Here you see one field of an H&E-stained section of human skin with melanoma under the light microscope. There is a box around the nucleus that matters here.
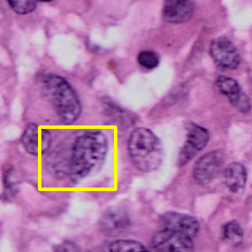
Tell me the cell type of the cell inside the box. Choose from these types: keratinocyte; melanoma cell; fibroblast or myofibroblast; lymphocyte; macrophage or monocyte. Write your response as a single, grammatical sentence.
As for its identity, the cell inside the box is a melanoma cell.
